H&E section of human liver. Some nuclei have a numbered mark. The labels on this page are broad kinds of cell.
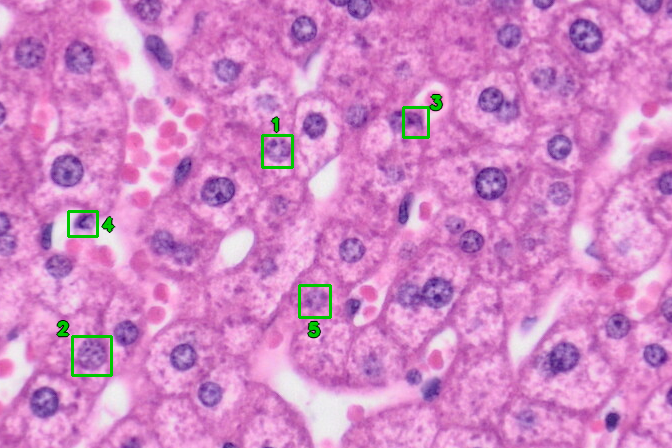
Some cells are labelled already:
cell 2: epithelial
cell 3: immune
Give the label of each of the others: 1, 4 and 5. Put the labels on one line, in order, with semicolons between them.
epithelial; immune; epithelial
